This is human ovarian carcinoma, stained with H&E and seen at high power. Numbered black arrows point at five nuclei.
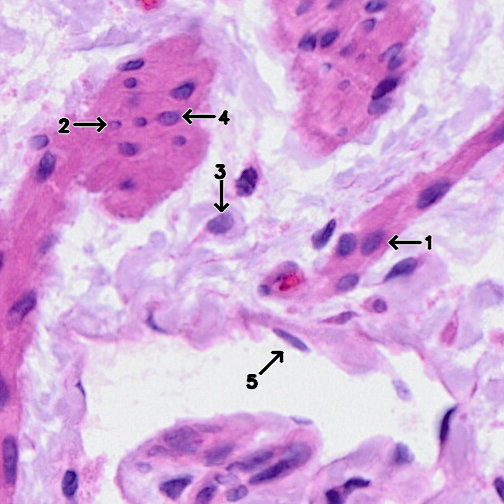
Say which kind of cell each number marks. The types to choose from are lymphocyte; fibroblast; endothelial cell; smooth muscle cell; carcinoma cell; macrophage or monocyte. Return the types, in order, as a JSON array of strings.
["smooth muscle cell", "smooth muscle cell", "fibroblast", "smooth muscle cell", "endothelial cell"]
